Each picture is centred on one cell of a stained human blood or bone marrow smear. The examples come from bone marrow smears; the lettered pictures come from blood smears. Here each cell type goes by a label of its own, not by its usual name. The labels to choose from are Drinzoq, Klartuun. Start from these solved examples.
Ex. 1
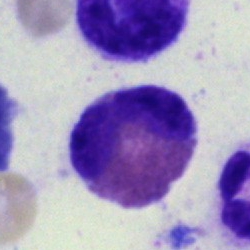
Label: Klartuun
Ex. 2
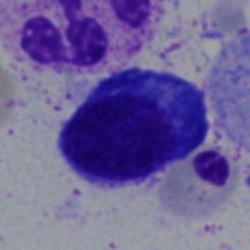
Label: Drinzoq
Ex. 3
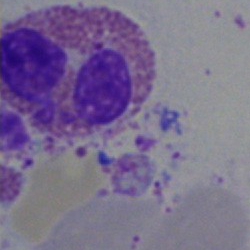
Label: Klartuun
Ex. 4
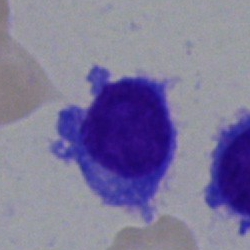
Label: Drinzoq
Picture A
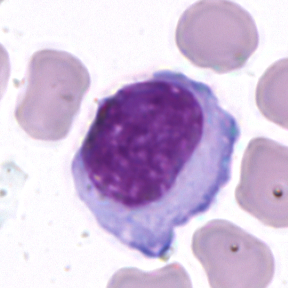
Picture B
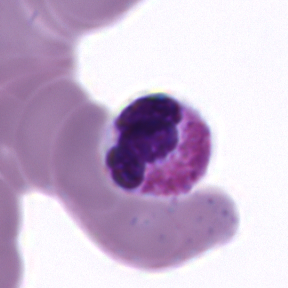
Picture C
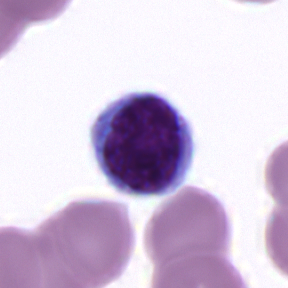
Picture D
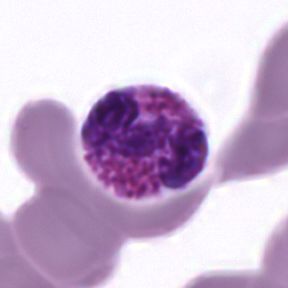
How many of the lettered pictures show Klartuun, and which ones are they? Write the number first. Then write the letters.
2: B, D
